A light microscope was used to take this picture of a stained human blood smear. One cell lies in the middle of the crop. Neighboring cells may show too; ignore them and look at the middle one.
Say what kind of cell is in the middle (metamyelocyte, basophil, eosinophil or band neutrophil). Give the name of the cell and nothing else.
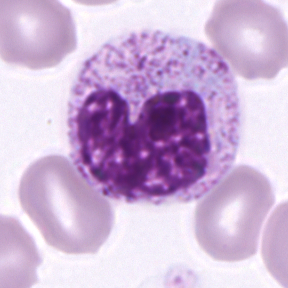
metamyelocyte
